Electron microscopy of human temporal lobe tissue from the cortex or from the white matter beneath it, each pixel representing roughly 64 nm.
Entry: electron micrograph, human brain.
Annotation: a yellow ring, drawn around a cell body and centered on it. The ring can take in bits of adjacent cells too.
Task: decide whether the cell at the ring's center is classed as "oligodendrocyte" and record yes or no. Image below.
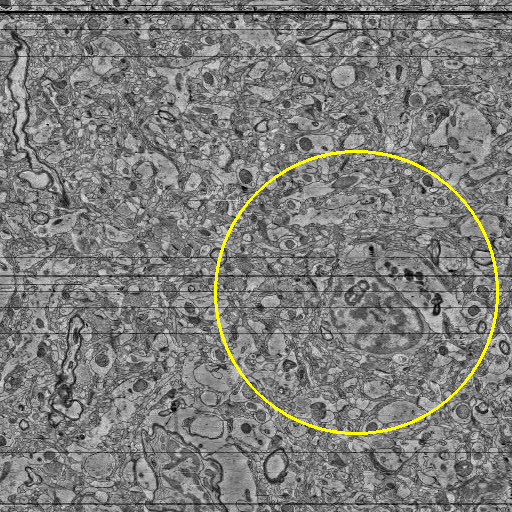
yes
